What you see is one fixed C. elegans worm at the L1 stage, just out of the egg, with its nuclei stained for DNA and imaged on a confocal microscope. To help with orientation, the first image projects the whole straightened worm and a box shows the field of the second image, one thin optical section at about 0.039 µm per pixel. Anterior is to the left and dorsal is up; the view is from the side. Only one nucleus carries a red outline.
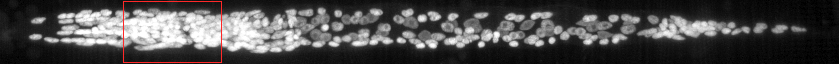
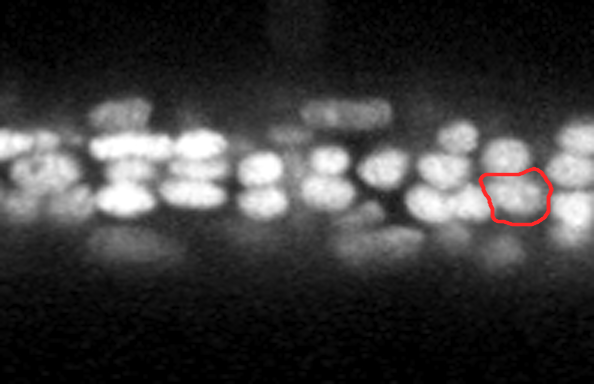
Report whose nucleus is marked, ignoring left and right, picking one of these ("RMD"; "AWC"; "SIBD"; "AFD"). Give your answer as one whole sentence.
The nucleus is from AWC, a neuron.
